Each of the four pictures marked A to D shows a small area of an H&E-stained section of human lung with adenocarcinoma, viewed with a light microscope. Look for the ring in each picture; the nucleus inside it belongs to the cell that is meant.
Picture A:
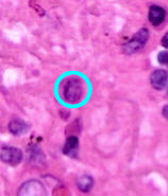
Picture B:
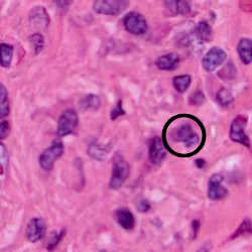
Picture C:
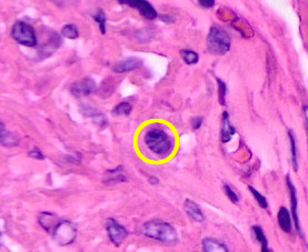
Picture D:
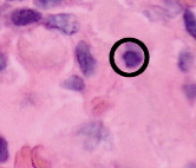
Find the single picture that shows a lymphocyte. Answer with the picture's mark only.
D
